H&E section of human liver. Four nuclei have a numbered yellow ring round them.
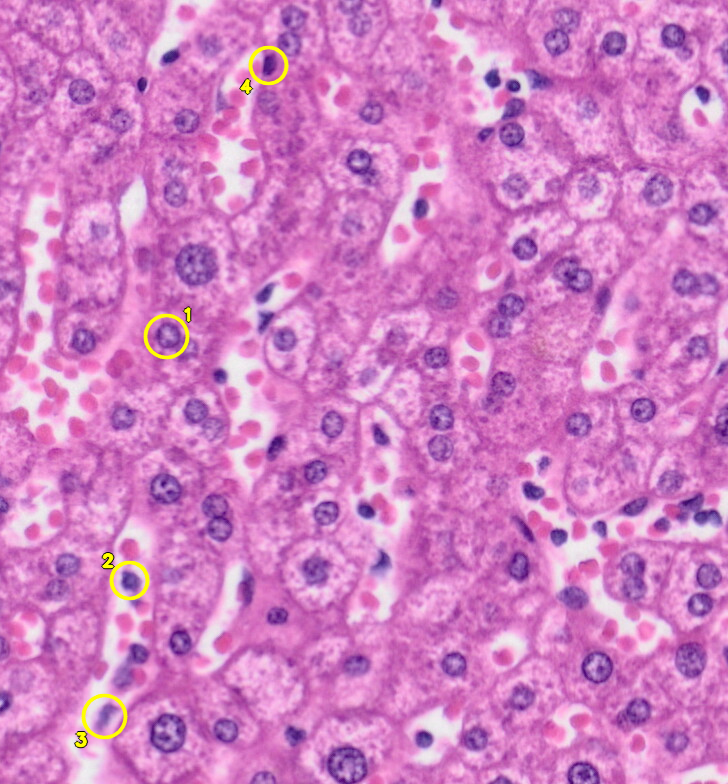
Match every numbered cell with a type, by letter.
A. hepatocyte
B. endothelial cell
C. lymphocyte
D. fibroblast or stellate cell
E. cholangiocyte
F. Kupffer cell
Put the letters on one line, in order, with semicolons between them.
A; C; F; D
